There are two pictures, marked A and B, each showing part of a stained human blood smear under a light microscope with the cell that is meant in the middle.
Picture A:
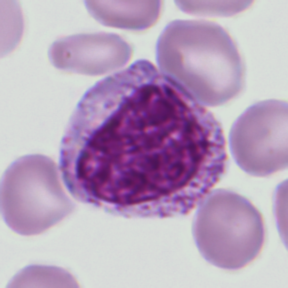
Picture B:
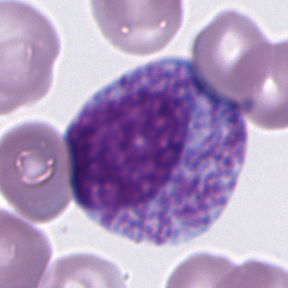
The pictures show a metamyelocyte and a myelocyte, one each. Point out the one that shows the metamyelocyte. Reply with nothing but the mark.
A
